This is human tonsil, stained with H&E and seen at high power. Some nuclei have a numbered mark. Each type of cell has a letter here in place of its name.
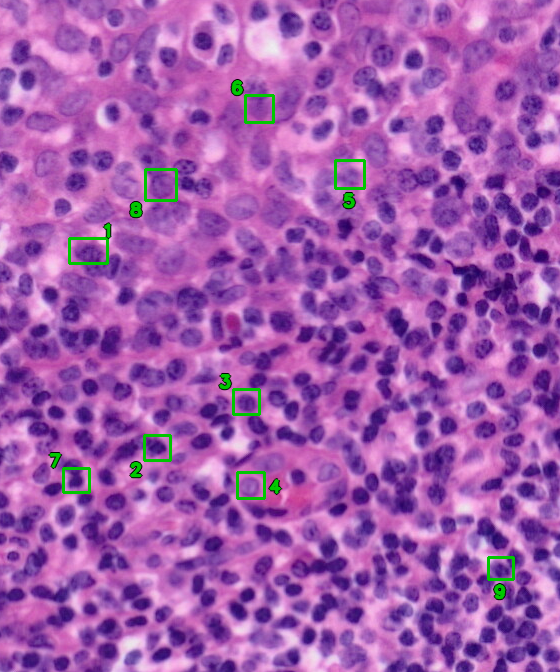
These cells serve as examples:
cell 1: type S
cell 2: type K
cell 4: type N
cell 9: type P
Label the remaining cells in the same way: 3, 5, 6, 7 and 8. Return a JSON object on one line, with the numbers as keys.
{"3": "type K", "5": "type S", "6": "type S", "7": "type P", "8": "type S"}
